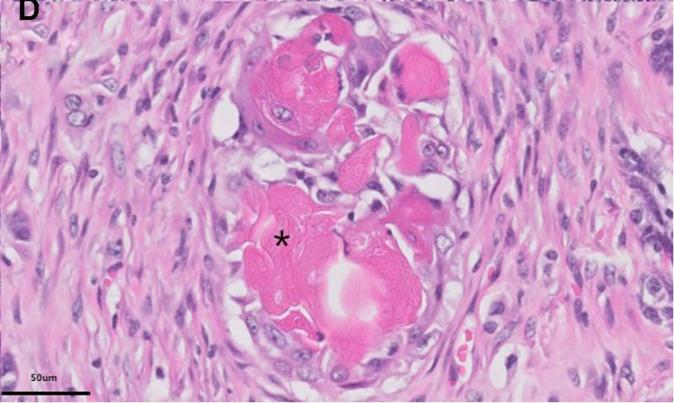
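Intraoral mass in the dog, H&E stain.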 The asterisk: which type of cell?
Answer: Ghost cells.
